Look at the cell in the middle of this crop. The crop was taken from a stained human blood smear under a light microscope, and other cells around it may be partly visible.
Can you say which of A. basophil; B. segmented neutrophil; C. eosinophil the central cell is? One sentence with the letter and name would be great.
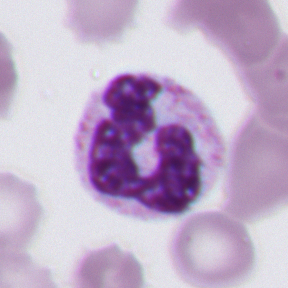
The one cell at the centre is a segmented neutrophil, as correctly stated in option B.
